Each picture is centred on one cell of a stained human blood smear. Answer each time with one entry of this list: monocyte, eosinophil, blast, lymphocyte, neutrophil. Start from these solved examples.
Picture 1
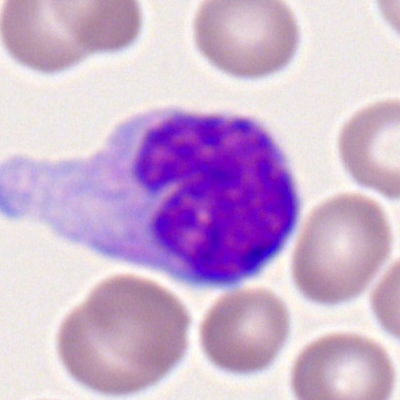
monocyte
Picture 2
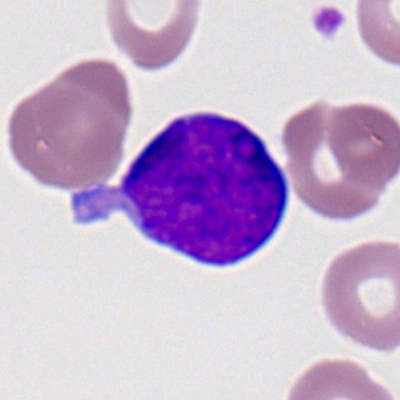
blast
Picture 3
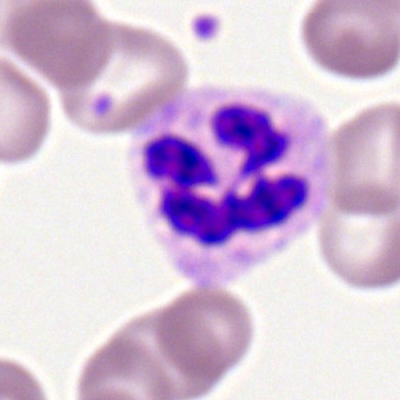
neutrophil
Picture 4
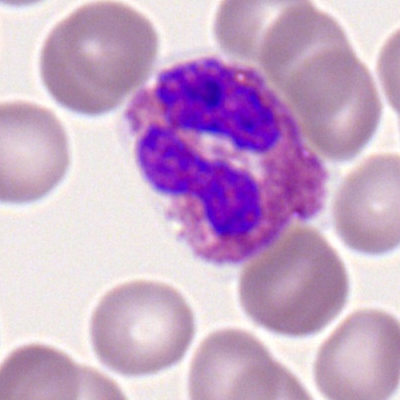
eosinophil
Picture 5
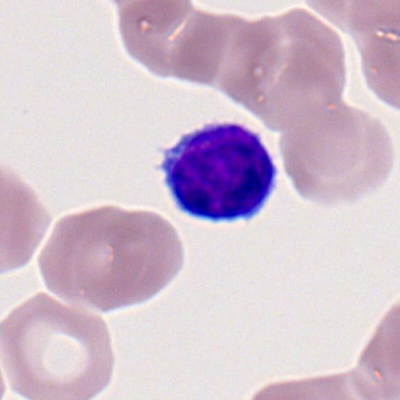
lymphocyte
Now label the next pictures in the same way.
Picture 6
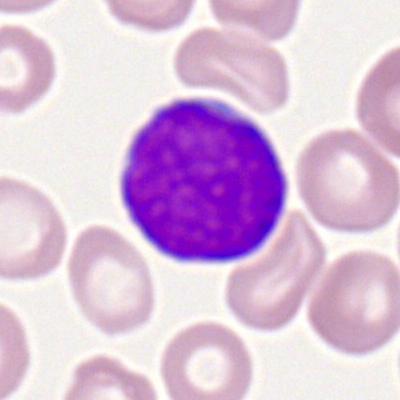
blast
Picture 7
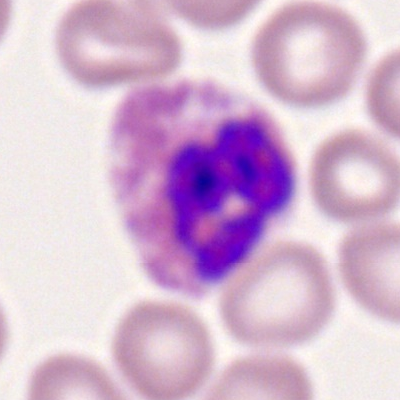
eosinophil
